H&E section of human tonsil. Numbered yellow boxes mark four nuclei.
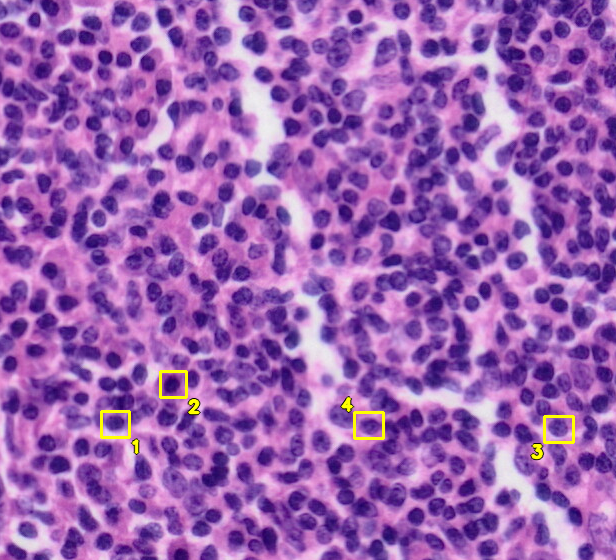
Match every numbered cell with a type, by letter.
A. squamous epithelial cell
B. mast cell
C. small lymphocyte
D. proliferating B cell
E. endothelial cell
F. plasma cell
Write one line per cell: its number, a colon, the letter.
1: C
2: F
3: C
4: C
